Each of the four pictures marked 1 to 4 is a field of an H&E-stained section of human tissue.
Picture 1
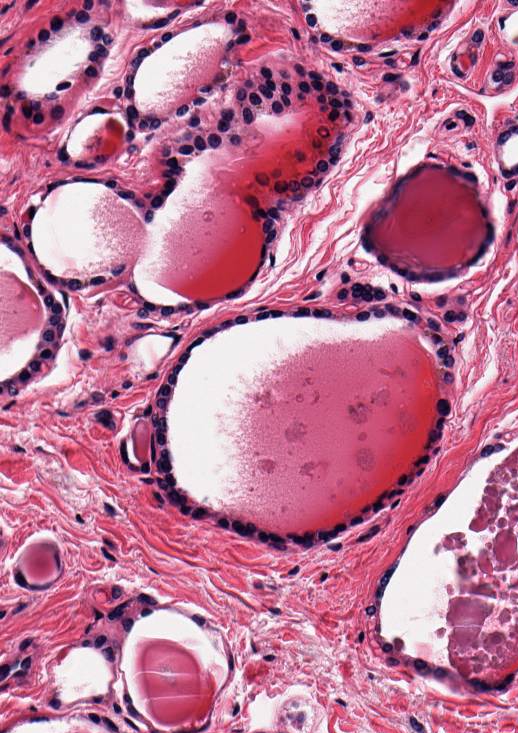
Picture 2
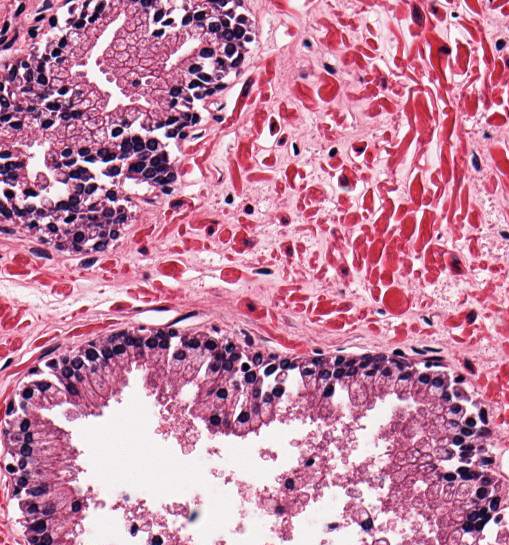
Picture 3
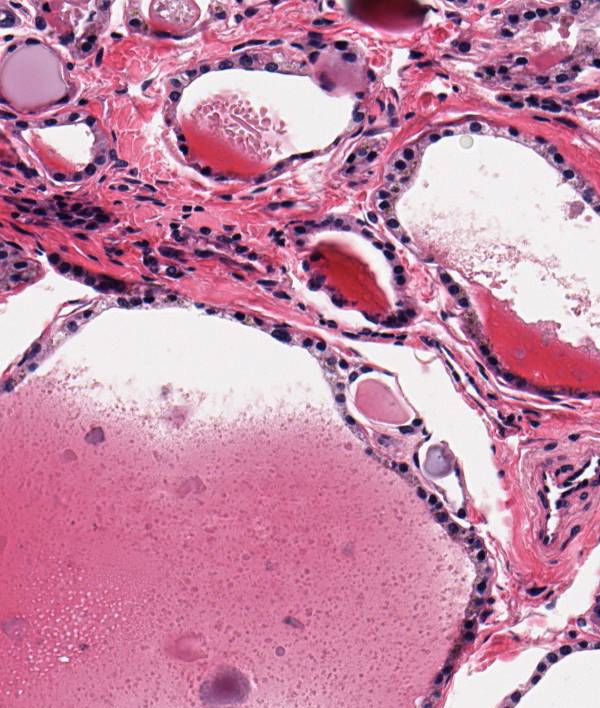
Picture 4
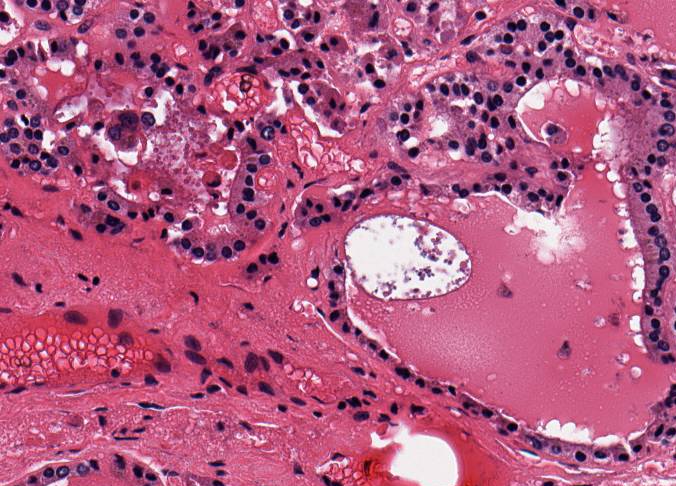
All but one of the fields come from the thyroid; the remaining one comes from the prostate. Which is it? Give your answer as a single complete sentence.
Picture 2 is the field that comes from the prostate.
